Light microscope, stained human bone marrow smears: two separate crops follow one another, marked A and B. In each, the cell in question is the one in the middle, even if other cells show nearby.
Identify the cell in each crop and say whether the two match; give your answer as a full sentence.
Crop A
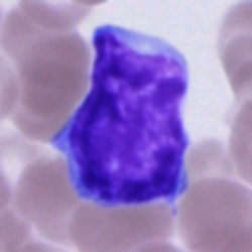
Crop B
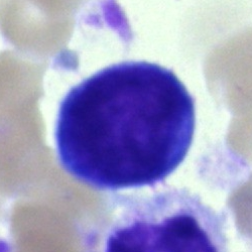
Yes, both crops show blasts, and nothing else needs adding.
